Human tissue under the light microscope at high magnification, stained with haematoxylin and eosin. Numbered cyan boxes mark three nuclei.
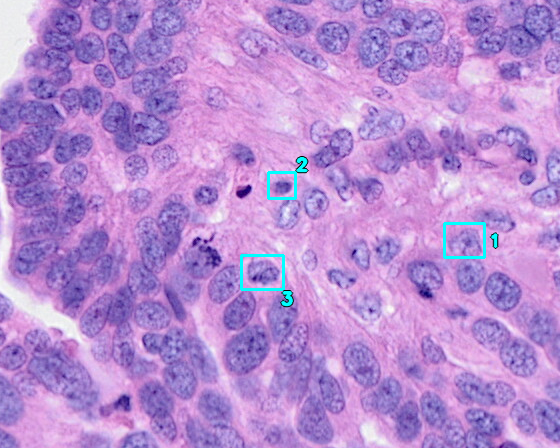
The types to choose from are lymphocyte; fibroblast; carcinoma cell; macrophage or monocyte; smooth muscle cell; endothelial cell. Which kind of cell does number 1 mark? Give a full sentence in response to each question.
The marked cell with the number 1 is recognised as a fibroblast.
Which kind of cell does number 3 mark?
The cell marked with number 3 is a macrophage or monocyte.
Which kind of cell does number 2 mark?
Looking at the numbered marks, cell 2 is a lymphocyte.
